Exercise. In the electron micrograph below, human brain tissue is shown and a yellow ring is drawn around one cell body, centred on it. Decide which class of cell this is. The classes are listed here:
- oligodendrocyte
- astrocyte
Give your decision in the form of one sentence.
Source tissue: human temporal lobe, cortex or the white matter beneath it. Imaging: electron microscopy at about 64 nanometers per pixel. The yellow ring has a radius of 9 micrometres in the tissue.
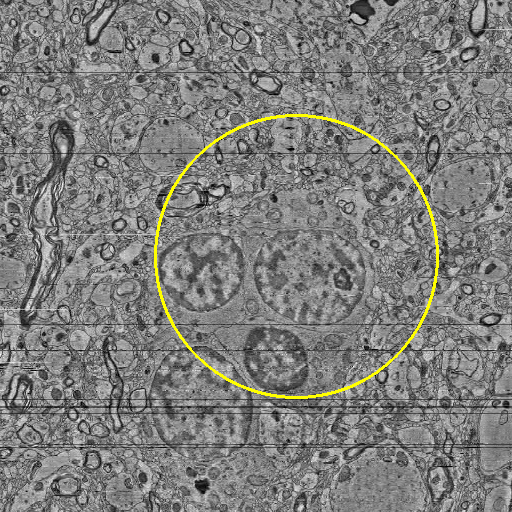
The cell body marked by the ring belongs to an oligodendrocyte.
